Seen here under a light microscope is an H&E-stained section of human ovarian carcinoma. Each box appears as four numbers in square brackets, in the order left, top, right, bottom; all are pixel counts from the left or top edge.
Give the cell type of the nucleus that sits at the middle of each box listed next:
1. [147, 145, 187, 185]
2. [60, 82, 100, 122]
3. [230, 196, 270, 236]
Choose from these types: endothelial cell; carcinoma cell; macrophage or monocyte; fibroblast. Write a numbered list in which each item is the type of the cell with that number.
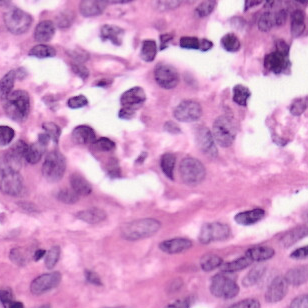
1. carcinoma cell
2. carcinoma cell
3. macrophage or monocyte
